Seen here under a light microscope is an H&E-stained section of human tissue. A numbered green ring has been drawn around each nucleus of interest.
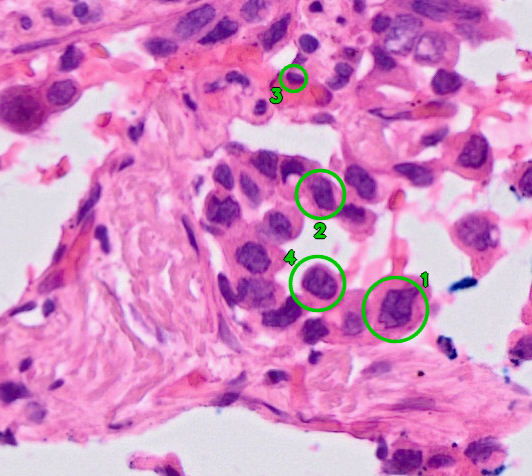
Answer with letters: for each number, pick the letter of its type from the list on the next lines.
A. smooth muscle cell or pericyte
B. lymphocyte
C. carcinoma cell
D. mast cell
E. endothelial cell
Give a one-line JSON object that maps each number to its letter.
{"1": "C", "2": "C", "3": "E", "4": "C"}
